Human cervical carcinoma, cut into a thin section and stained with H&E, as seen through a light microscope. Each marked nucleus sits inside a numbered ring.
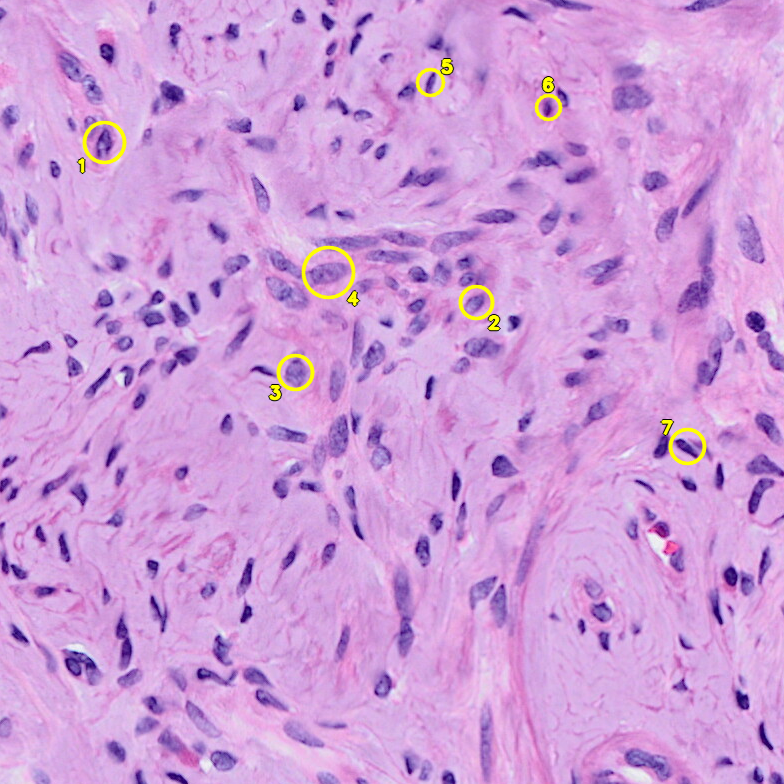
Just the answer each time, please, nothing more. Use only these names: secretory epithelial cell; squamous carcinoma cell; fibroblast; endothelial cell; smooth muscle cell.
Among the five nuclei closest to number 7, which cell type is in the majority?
fibroblast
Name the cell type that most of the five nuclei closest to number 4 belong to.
smooth muscle cell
